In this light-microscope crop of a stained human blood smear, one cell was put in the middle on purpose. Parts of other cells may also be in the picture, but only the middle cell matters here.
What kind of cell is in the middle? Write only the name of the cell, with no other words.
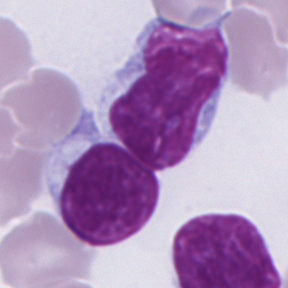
myeloblast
